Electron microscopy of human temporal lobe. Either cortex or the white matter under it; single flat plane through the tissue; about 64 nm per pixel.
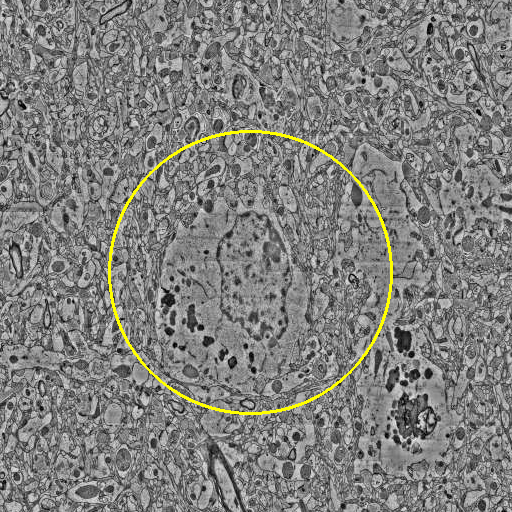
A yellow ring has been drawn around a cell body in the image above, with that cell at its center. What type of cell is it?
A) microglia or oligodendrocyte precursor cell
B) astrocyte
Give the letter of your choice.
B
